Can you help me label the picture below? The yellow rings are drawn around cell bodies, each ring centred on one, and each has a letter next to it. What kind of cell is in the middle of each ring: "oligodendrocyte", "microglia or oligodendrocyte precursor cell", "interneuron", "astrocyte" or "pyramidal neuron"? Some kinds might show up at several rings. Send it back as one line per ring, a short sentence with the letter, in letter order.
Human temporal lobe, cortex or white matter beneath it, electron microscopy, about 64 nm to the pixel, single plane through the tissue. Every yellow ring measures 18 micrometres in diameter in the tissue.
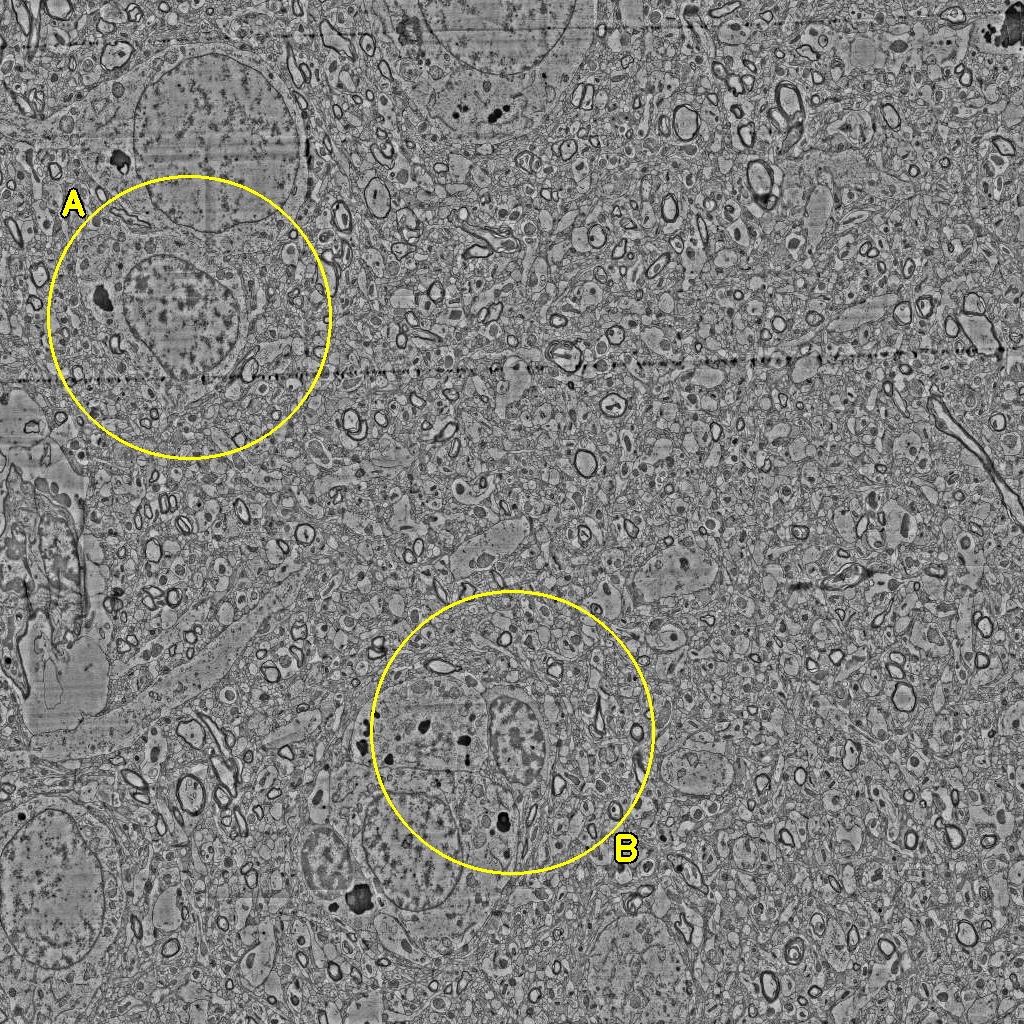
Ring A has an interneuron in the middle.
Ring B has an oligodendrocyte in the middle.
